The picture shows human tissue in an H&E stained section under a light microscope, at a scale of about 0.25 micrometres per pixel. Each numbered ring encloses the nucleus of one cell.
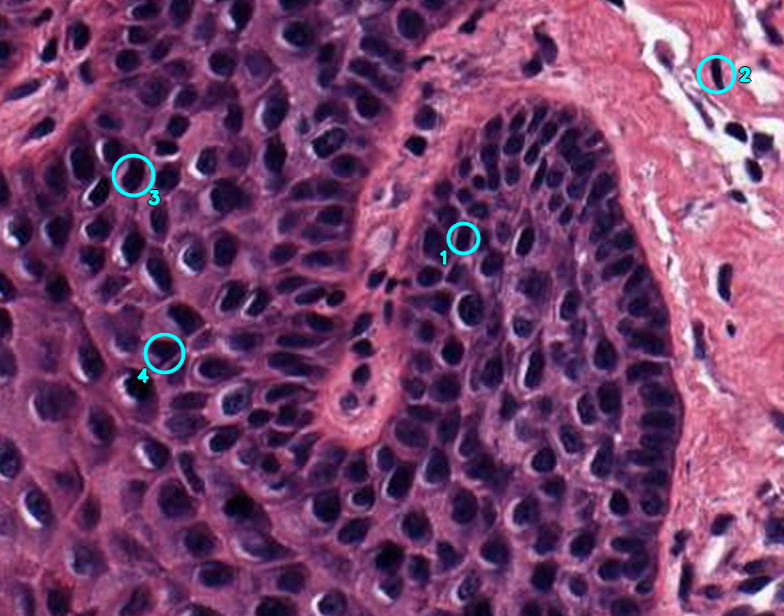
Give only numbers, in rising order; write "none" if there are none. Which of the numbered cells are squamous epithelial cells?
1, 3, 4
